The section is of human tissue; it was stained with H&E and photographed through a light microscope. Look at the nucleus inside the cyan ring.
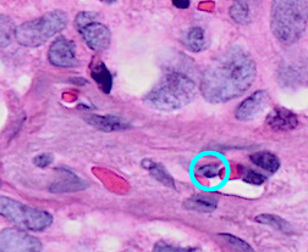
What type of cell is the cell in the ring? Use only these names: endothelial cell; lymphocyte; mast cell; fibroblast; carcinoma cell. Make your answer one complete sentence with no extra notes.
Students should answer that the cell in the ring is an endothelial cell.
